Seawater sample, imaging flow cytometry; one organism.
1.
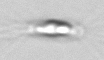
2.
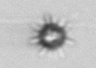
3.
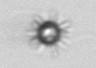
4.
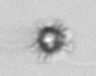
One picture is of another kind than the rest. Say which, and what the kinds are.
Picture 1 shows Chrysochromulina parkeae; the rest show Rhabdosphaera.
